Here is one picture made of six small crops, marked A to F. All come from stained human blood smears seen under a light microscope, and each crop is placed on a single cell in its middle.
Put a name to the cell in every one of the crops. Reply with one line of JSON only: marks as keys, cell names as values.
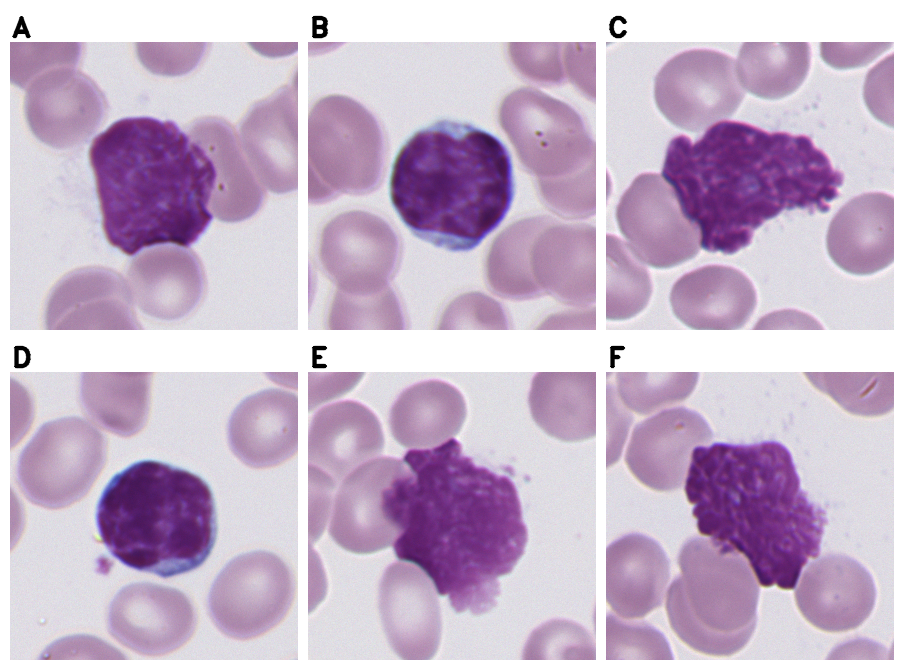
{"A": "smudge cell", "B": "typical lymphocyte", "C": "smudge cell", "D": "typical lymphocyte", "E": "smudge cell", "F": "smudge cell"}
